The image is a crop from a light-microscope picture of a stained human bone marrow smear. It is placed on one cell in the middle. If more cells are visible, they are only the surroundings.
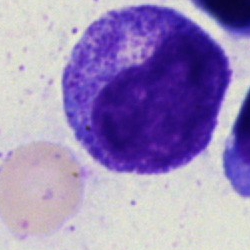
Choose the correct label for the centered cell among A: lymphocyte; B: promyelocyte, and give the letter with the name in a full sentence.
Option B is the right choice, the central cell being a promyelocyte.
